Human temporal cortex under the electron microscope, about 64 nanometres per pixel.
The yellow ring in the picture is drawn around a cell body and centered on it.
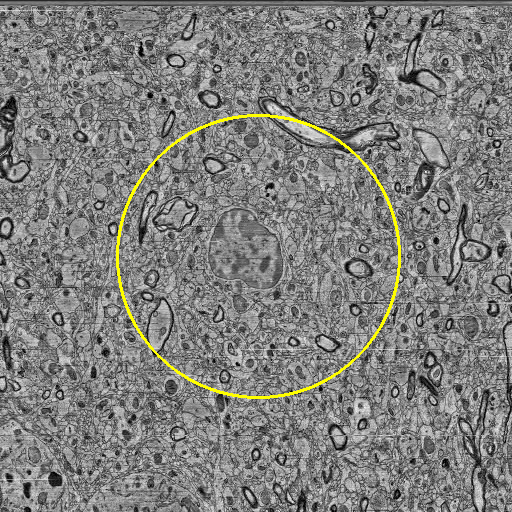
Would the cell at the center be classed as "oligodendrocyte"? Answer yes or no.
No, it belongs to another class.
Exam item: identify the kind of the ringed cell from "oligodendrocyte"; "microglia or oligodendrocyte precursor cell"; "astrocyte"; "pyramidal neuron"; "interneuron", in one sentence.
So the cell at the centre is a microglial cell or oligodendrocyte precursor cell.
